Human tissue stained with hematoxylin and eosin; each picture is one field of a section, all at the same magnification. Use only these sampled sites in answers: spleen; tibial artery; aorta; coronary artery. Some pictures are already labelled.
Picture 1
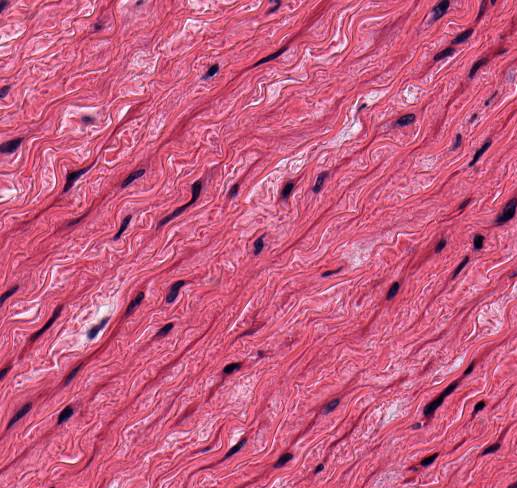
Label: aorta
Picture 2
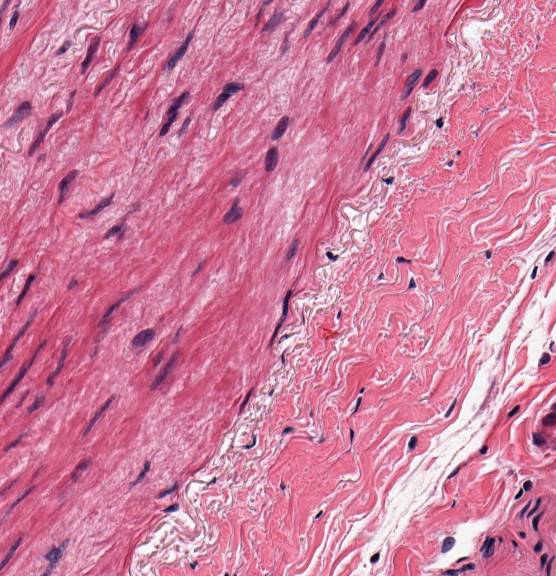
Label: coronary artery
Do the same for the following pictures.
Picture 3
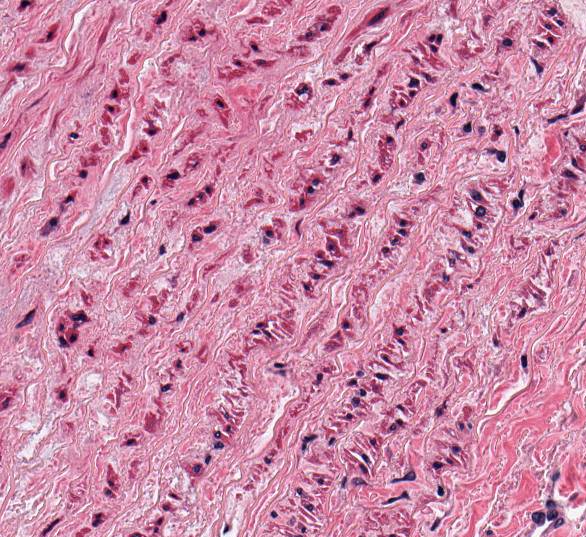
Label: aorta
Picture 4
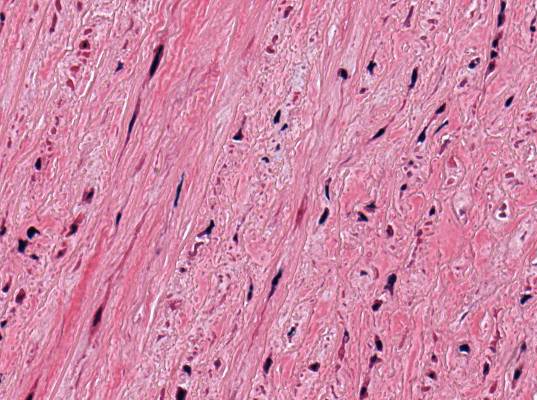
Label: aorta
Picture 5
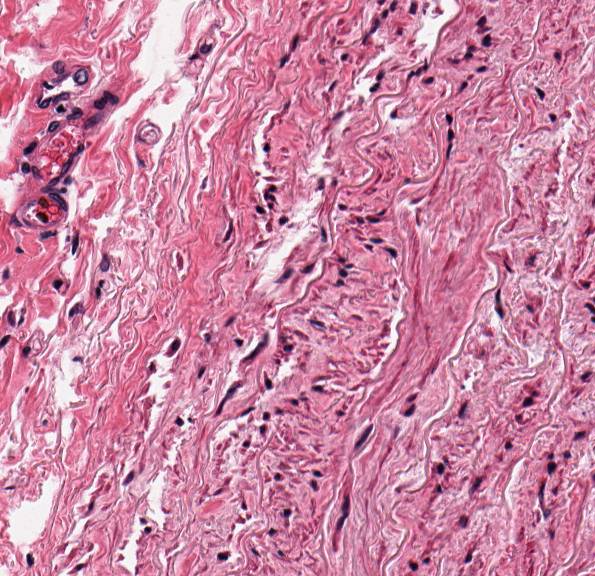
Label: aorta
